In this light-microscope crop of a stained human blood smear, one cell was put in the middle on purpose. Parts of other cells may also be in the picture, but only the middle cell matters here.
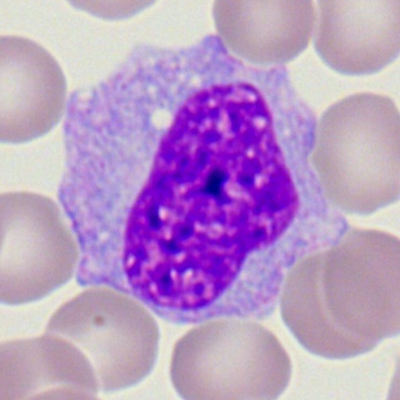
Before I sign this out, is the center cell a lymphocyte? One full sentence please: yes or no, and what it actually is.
No, calling it a lymphocyte is wrong; the middle cell is a monocyte.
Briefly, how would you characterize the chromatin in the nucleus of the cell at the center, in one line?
One feature to record is coarsely clumped chromatin.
